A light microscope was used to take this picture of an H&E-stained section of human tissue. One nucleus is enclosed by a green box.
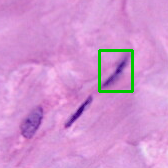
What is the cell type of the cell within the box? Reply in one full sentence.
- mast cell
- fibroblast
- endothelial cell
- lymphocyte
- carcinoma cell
As for its identity, the cell within the box is a fibroblast.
